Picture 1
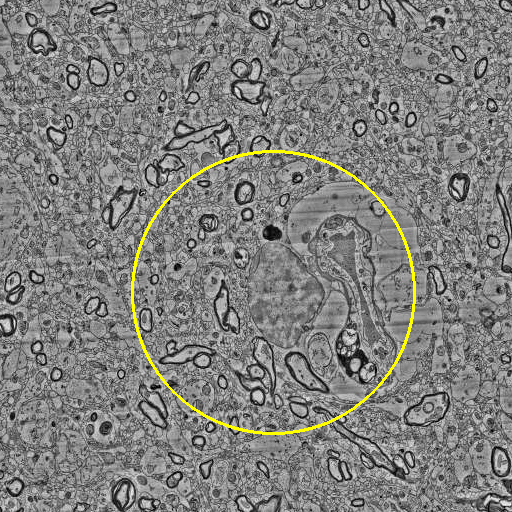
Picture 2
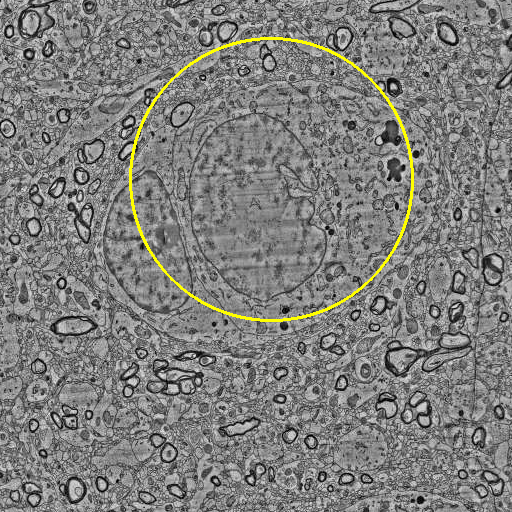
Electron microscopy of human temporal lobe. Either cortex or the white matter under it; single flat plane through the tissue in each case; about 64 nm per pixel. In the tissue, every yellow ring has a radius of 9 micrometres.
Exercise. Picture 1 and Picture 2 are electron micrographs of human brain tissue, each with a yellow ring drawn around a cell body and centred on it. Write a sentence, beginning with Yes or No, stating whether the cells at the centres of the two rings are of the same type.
No, the cells at the centres of the rings are of two types.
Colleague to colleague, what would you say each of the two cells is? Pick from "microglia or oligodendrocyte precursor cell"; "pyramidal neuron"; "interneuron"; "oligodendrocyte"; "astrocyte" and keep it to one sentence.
The cell in the first picture is an oligodendrocyte; the second picture's cell is a pyramidal neuron.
